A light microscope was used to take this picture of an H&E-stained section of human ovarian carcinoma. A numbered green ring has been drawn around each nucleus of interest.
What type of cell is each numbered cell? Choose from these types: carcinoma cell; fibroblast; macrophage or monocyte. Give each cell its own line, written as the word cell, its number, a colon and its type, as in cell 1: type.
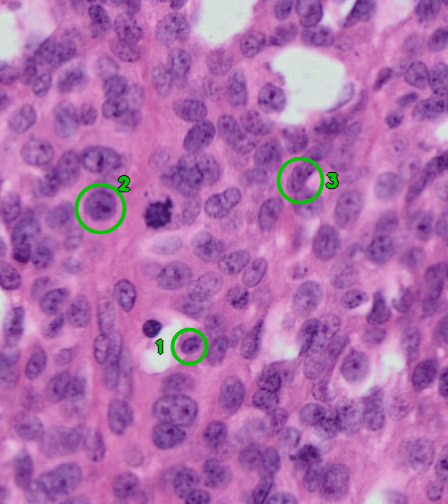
cell 1: macrophage or monocyte
cell 2: carcinoma cell
cell 3: carcinoma cell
